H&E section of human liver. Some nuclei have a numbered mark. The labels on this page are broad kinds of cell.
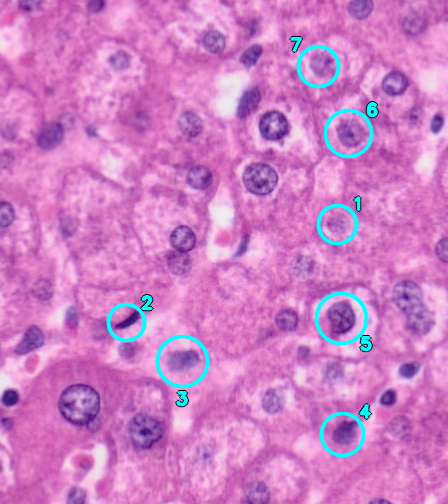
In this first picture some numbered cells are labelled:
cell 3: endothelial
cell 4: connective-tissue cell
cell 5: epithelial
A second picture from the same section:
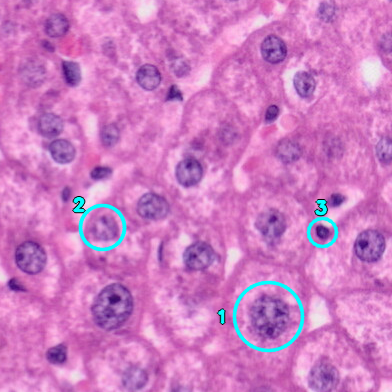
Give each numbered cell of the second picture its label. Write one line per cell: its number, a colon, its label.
1: epithelial
2: epithelial
3: connective-tissue cell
